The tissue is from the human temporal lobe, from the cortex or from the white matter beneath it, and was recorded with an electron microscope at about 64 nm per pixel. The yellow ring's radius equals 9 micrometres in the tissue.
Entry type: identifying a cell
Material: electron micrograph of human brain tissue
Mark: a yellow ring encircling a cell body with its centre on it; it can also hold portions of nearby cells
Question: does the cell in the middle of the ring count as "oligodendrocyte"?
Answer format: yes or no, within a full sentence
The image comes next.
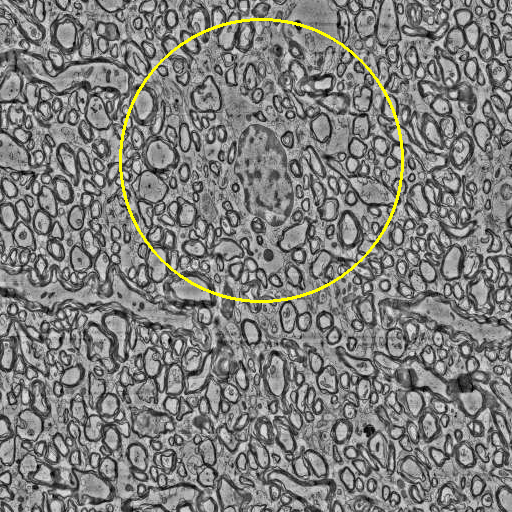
No, in the image, the cell in the middle of the yellow ring counts as a different kind.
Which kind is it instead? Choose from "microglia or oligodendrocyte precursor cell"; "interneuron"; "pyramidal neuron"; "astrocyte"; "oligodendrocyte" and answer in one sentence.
The cell shown in the ring is a microglial cell or oligodendrocyte precursor cell.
